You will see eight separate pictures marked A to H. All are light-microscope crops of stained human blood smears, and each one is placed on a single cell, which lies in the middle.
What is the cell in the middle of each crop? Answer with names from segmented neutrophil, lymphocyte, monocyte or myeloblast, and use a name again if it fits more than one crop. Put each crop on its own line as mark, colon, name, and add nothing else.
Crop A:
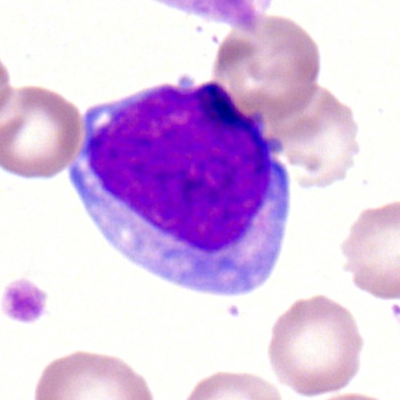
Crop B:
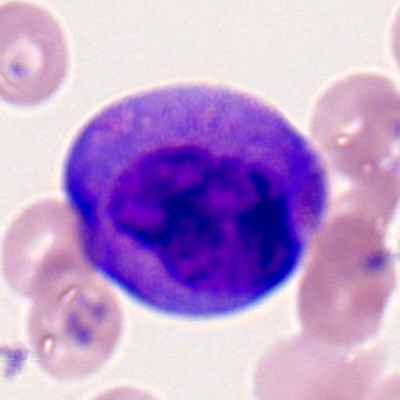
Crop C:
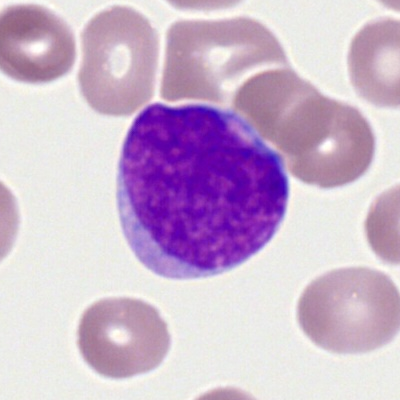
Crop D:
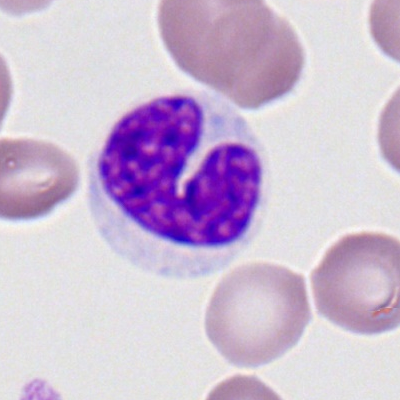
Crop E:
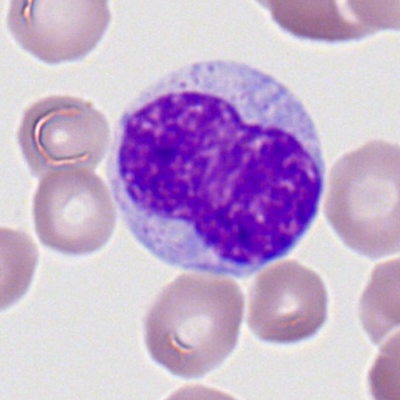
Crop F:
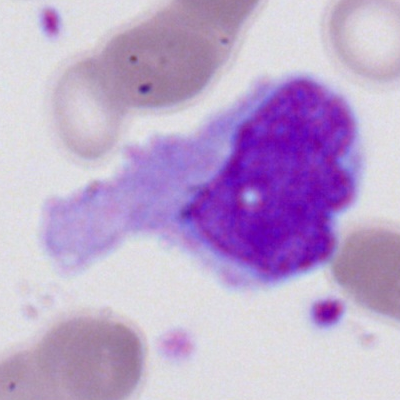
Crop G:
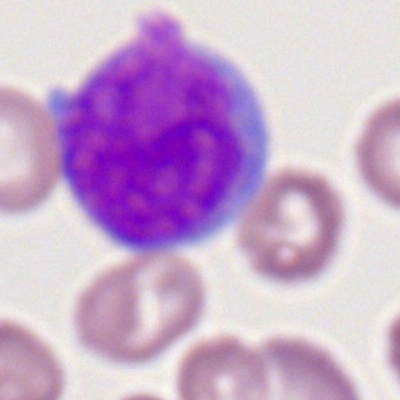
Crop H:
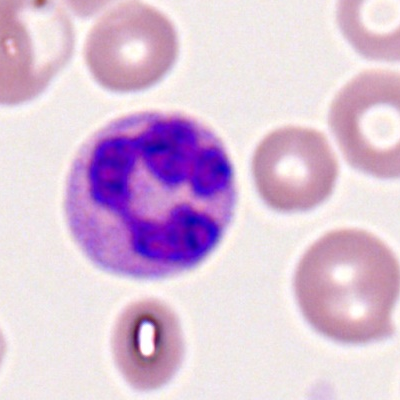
A: myeloblast
B: myeloblast
C: myeloblast
D: monocyte
E: monocyte
F: monocyte
G: monocyte
H: segmented neutrophil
